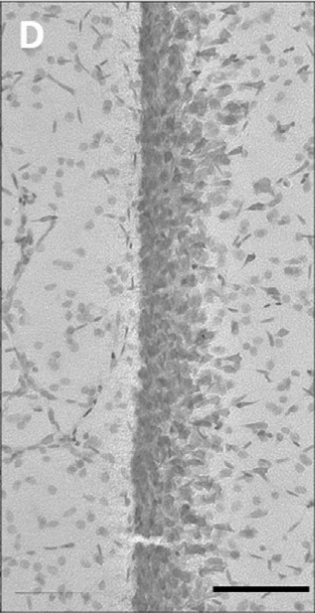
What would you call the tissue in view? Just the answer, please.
stratum pyramidale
